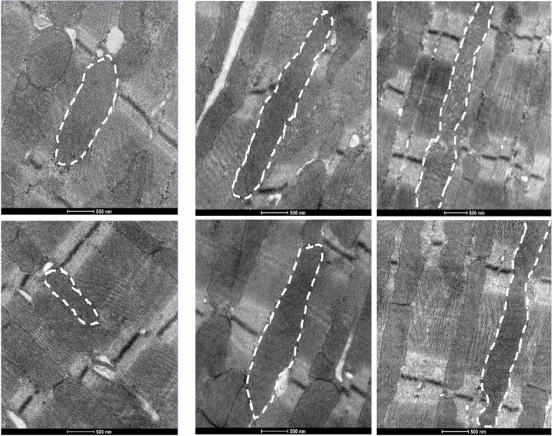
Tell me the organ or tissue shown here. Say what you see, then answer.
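Heart. Myofibrils with regular sarcomere banding and dark Z-lines fill the fields. Many mitochondria lie packed between the myofibrils.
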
